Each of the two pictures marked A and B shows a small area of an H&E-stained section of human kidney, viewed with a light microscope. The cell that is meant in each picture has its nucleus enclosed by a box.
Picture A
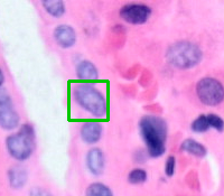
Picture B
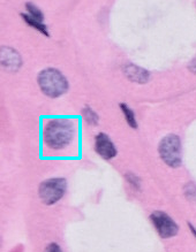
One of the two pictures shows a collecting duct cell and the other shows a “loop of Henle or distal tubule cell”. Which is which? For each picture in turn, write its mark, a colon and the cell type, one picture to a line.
A: collecting duct cell
B: loop of Henle or distal tubule cell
